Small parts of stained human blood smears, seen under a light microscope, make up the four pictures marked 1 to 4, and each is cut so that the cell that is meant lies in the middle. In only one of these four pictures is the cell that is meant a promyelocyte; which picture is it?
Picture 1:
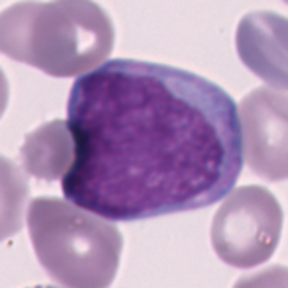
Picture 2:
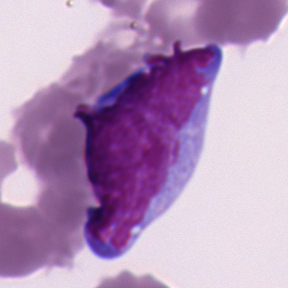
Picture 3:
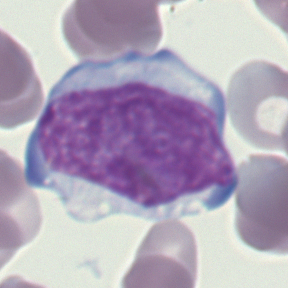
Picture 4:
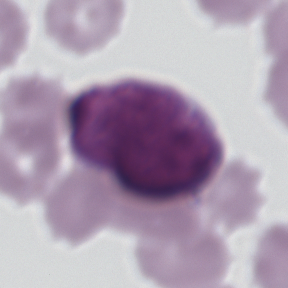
1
